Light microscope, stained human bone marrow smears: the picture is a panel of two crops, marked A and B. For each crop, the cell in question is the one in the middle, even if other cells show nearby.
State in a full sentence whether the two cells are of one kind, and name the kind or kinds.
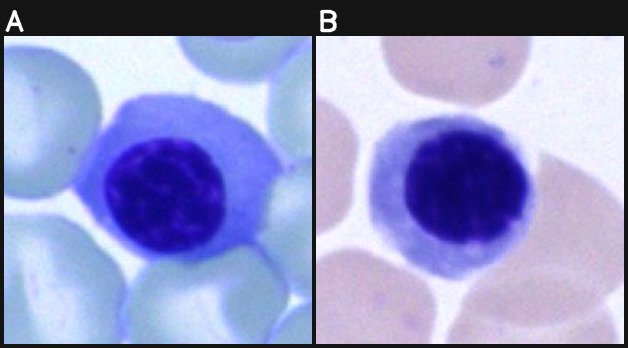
Yes, the central cells in both of the crops are erythroblasts.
